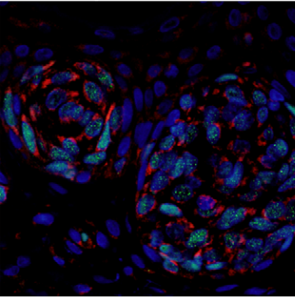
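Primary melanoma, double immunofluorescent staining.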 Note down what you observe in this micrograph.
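The nuclei are oval to elongated and carry a green speckled signal, while red granular stain lies in the cytoplasm around them. Within a nest the cells are arranged in a whorled, concentric pattern, and blue-only nuclei of other cells lie outside the nests.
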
